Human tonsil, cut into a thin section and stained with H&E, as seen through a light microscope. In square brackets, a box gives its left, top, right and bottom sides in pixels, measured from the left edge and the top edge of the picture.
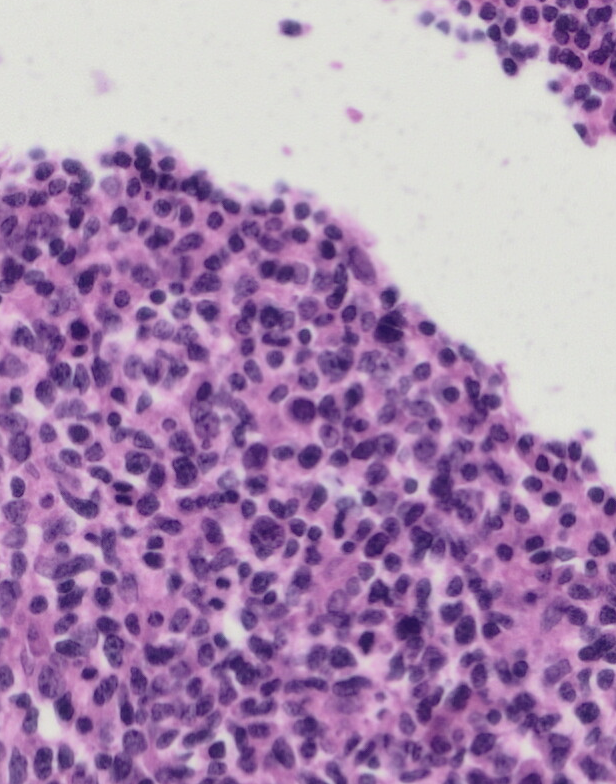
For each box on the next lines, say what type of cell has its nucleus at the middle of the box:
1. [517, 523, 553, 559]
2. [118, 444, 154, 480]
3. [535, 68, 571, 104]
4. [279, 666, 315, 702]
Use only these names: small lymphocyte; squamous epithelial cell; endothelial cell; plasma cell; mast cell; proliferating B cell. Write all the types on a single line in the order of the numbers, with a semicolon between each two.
plasma cell; proliferating B cell; small lymphocyte; proliferating B cell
